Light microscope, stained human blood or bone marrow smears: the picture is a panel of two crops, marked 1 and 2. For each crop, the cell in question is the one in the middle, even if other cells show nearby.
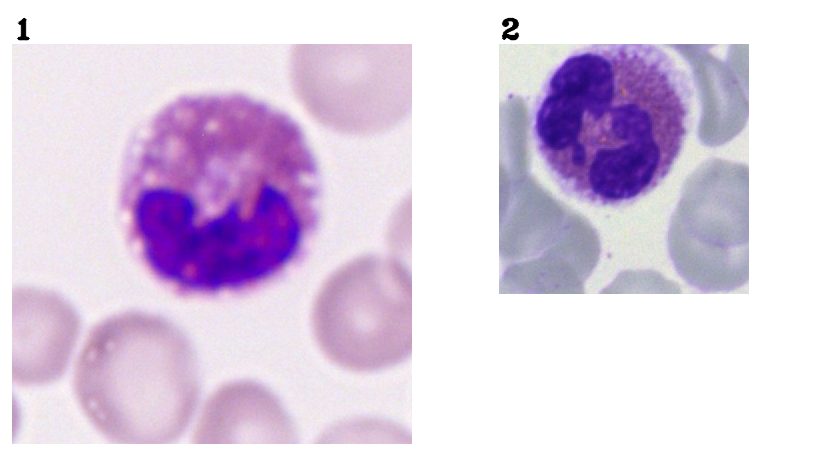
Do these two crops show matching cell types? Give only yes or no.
yes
